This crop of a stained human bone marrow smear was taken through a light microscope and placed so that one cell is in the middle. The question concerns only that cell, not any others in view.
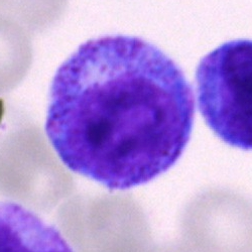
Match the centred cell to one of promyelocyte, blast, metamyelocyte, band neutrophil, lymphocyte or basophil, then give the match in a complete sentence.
The central cell in this smear crop is a promyelocyte.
